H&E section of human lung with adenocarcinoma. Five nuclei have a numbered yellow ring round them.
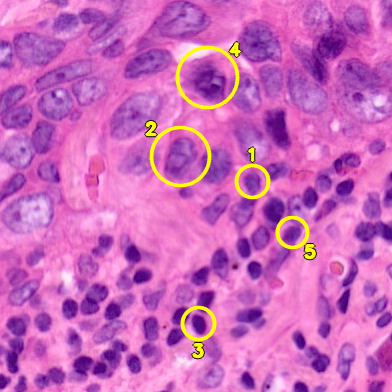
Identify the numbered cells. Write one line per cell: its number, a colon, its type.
1: lymphocyte
2: carcinoma cell
3: lymphocyte
4: carcinoma cell
5: lymphocyte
